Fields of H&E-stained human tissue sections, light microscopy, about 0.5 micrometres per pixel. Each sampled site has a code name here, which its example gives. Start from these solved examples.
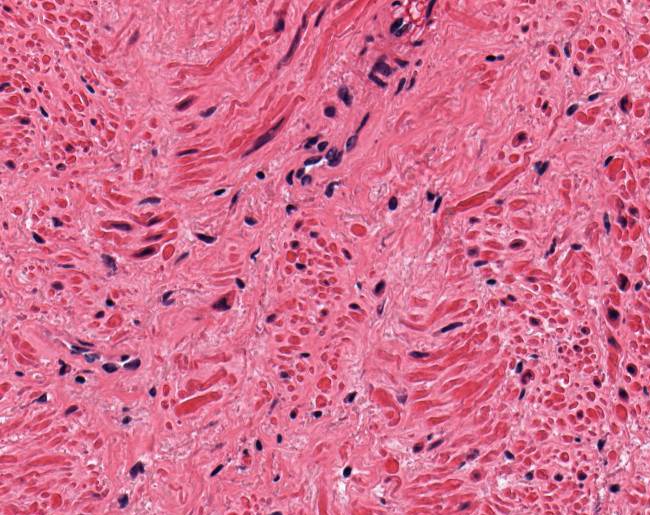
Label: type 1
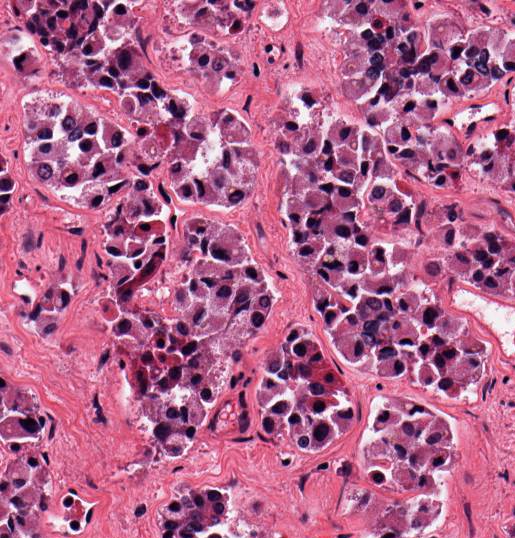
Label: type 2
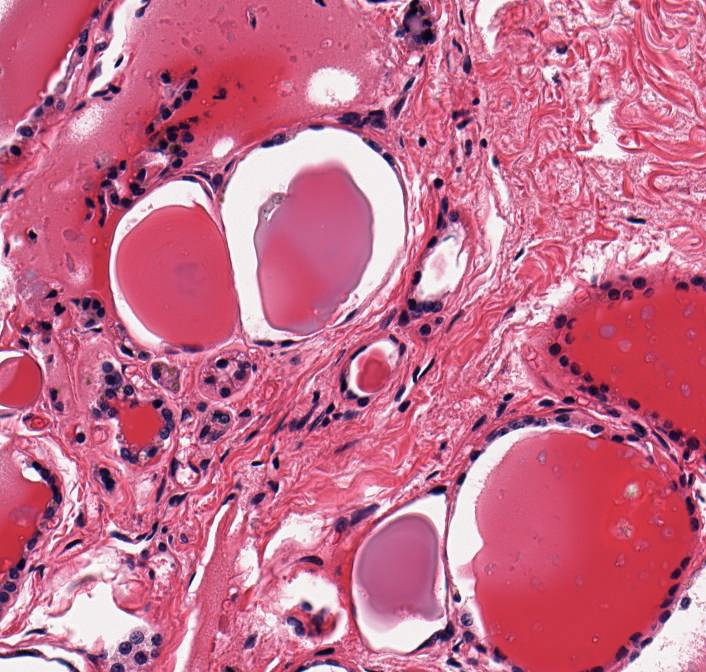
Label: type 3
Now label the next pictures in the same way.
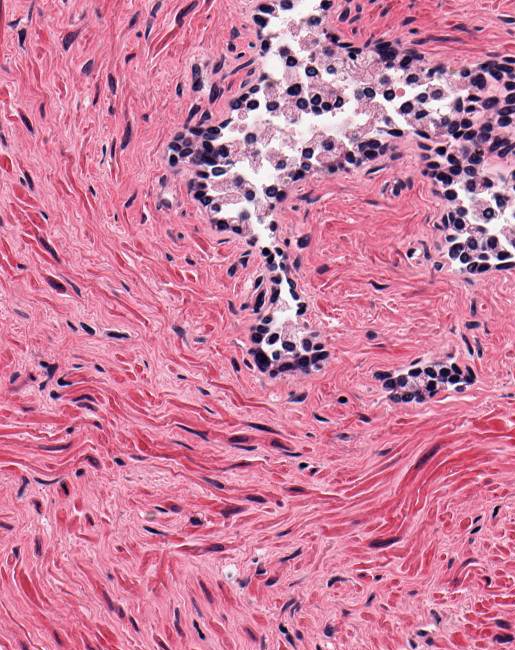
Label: type 1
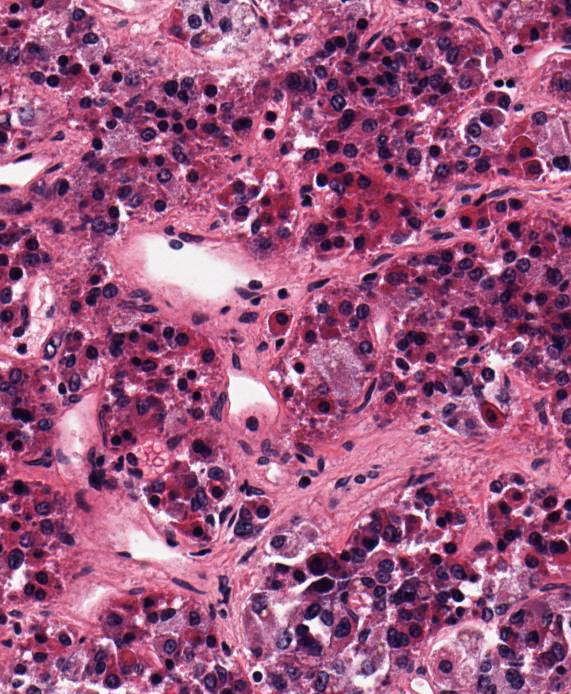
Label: type 2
